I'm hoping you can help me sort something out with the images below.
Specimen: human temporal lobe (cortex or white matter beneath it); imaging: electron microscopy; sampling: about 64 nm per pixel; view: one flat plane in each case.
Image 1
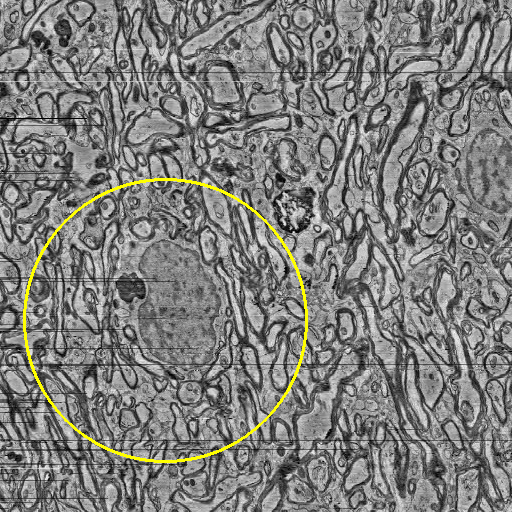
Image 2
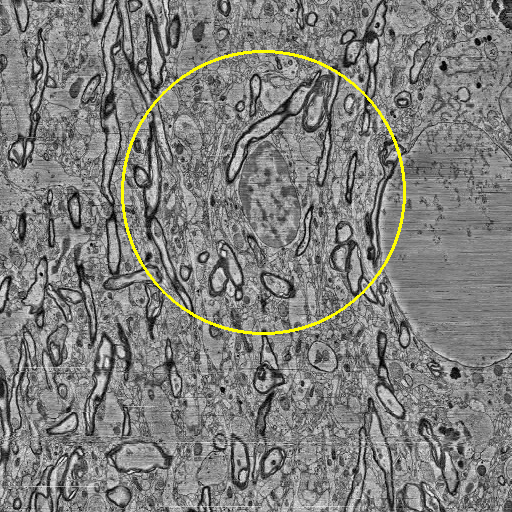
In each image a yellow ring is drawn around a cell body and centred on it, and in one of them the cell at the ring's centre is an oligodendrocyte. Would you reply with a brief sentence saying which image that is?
In Image 1, the cell at the centre of the ring is the one you asked about.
